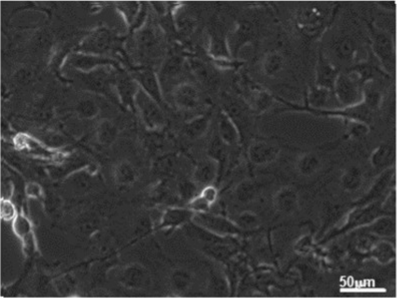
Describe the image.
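These are cultured cells seen by phase contrast, spread as a loose sheet of large, flattened cells rather than in compact clusters. Each cell has a broad, thin, pale cytoplasm and an oval nucleus, and several are elongated or spindle-shaped with long thin processes. Only a few cells are rounded and bright.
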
